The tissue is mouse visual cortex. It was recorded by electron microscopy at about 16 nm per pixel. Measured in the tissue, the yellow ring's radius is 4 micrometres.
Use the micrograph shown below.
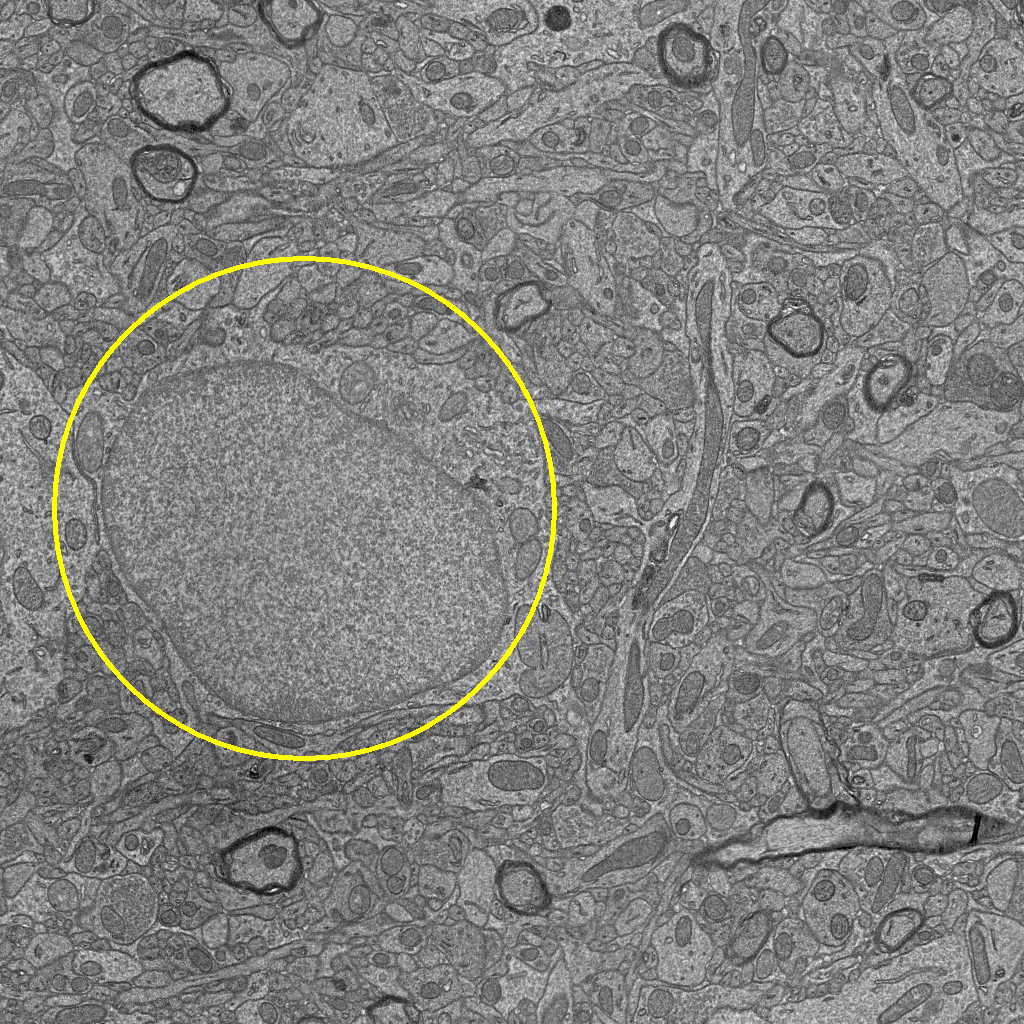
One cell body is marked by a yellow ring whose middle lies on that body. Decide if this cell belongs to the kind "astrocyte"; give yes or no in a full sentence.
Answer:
Yes, the cell at the ring's middle in the micrograph is of the kind given.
